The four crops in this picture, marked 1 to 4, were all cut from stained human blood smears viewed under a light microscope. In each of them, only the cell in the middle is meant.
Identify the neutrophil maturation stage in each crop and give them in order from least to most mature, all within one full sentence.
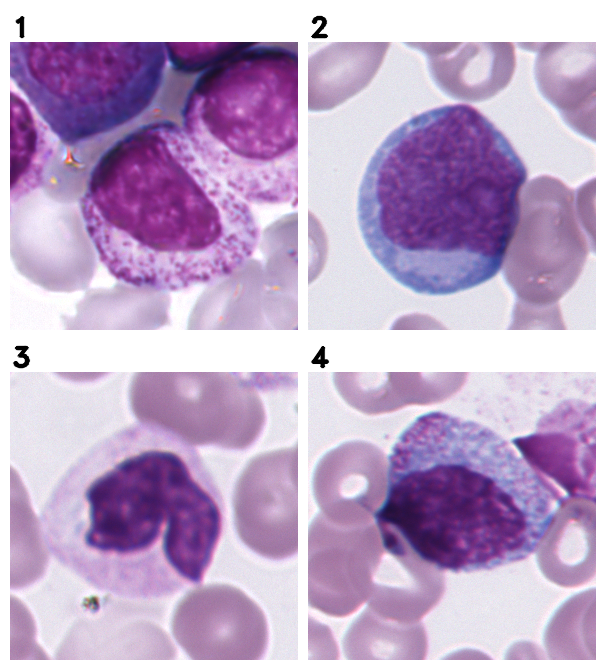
The stages, ordered from least to most mature, are crop 2 (a blast), crop 4 (a promyelocyte), crop 1 (a myelocyte) and crop 3 (a band neutrophil).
